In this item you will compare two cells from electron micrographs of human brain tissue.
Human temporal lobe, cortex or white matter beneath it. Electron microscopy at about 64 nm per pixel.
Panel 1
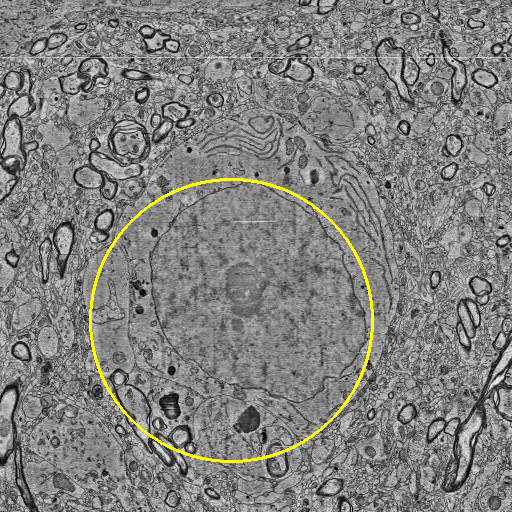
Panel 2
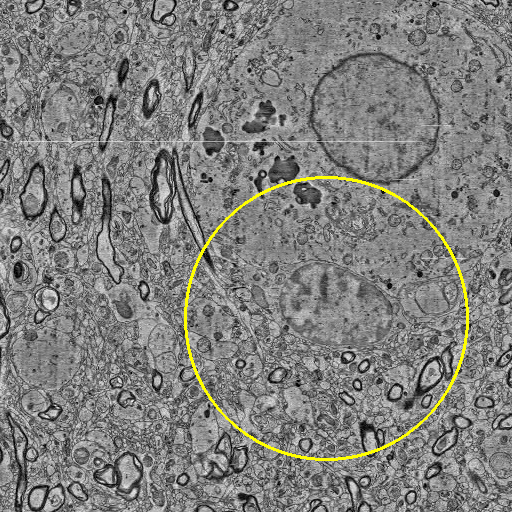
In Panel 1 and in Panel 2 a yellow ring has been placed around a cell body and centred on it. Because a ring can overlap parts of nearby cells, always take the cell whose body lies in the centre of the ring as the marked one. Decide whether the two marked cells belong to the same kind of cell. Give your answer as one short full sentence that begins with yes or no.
No, the two marked cells belong to two kinds of cell.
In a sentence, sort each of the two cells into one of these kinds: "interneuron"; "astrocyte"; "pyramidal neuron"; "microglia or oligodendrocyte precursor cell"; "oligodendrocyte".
The first of the two cells is a pyramidal neuron, and the second is an oligodendrocyte.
